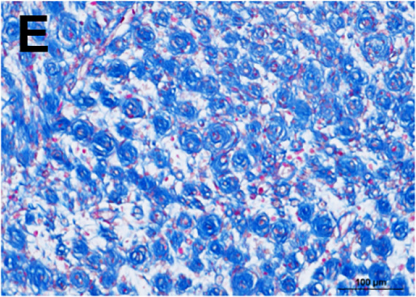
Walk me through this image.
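This is a cross-section of a peripheral nerve packed with many onion bulbs. Each is a round profile made of concentric blue-stained lamellae around a small central core. The whorls lie close together and fill most of the field. Small red to magenta profiles are scattered in the tissue between them.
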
